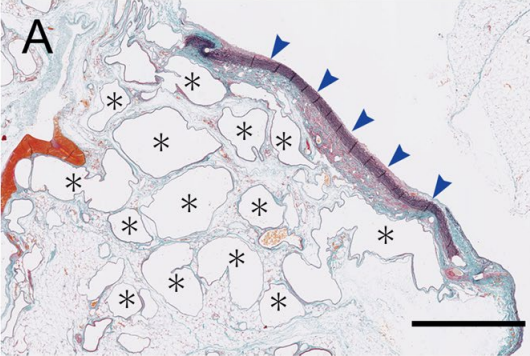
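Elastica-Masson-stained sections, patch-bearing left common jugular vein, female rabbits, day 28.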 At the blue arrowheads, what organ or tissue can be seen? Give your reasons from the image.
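It is bordered by blue-green connective tissue.
Hence: arterial tissue.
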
